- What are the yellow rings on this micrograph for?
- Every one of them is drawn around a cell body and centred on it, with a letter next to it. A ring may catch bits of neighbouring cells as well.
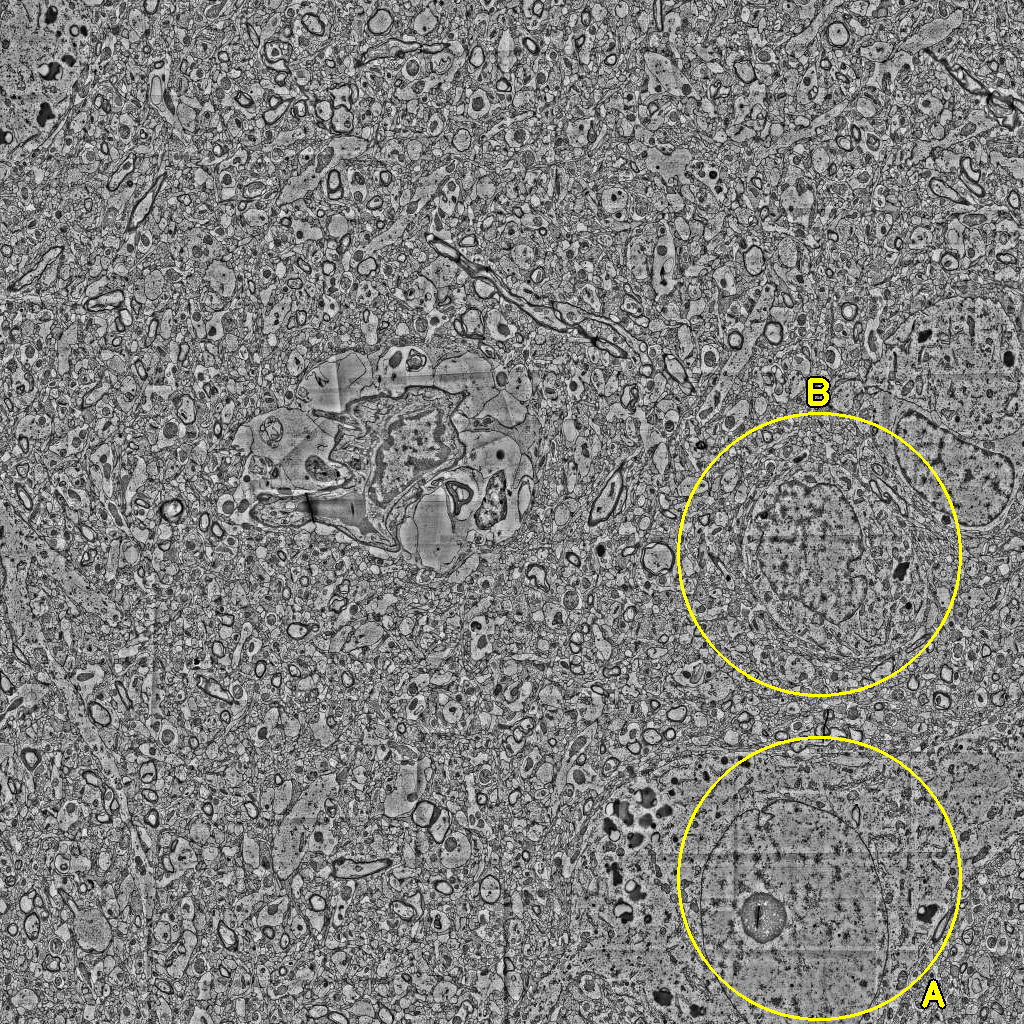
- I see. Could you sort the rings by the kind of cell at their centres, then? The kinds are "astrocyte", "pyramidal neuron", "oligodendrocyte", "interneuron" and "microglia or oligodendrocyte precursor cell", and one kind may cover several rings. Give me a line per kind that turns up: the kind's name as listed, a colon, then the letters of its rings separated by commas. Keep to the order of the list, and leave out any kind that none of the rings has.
pyramidal neuron: A
interneuron: B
